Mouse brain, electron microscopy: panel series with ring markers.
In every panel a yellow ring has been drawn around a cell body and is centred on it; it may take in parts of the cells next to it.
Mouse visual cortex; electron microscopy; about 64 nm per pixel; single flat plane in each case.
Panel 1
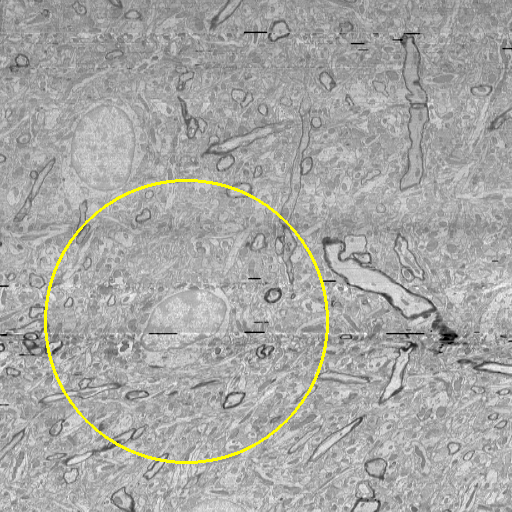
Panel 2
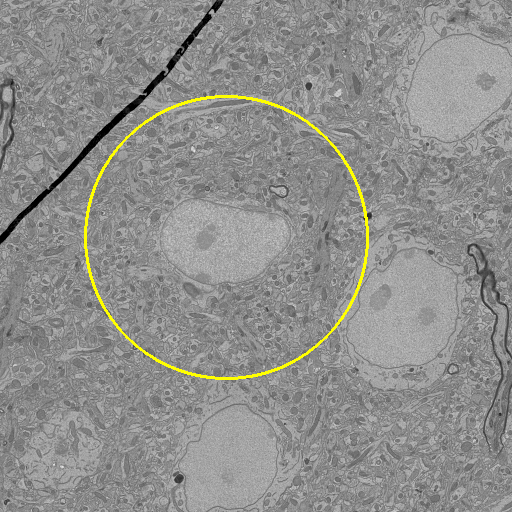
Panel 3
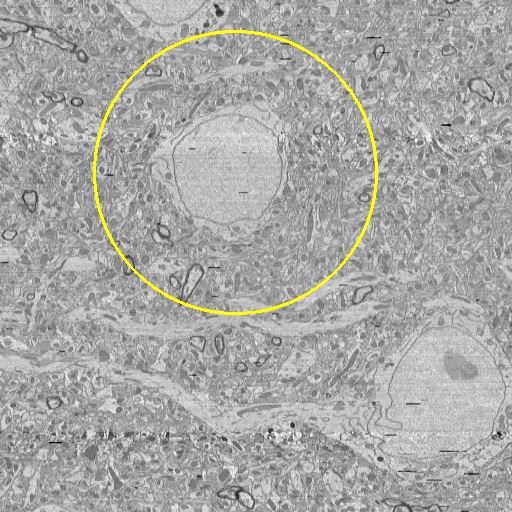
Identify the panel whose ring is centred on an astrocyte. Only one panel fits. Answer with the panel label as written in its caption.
Panel 2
